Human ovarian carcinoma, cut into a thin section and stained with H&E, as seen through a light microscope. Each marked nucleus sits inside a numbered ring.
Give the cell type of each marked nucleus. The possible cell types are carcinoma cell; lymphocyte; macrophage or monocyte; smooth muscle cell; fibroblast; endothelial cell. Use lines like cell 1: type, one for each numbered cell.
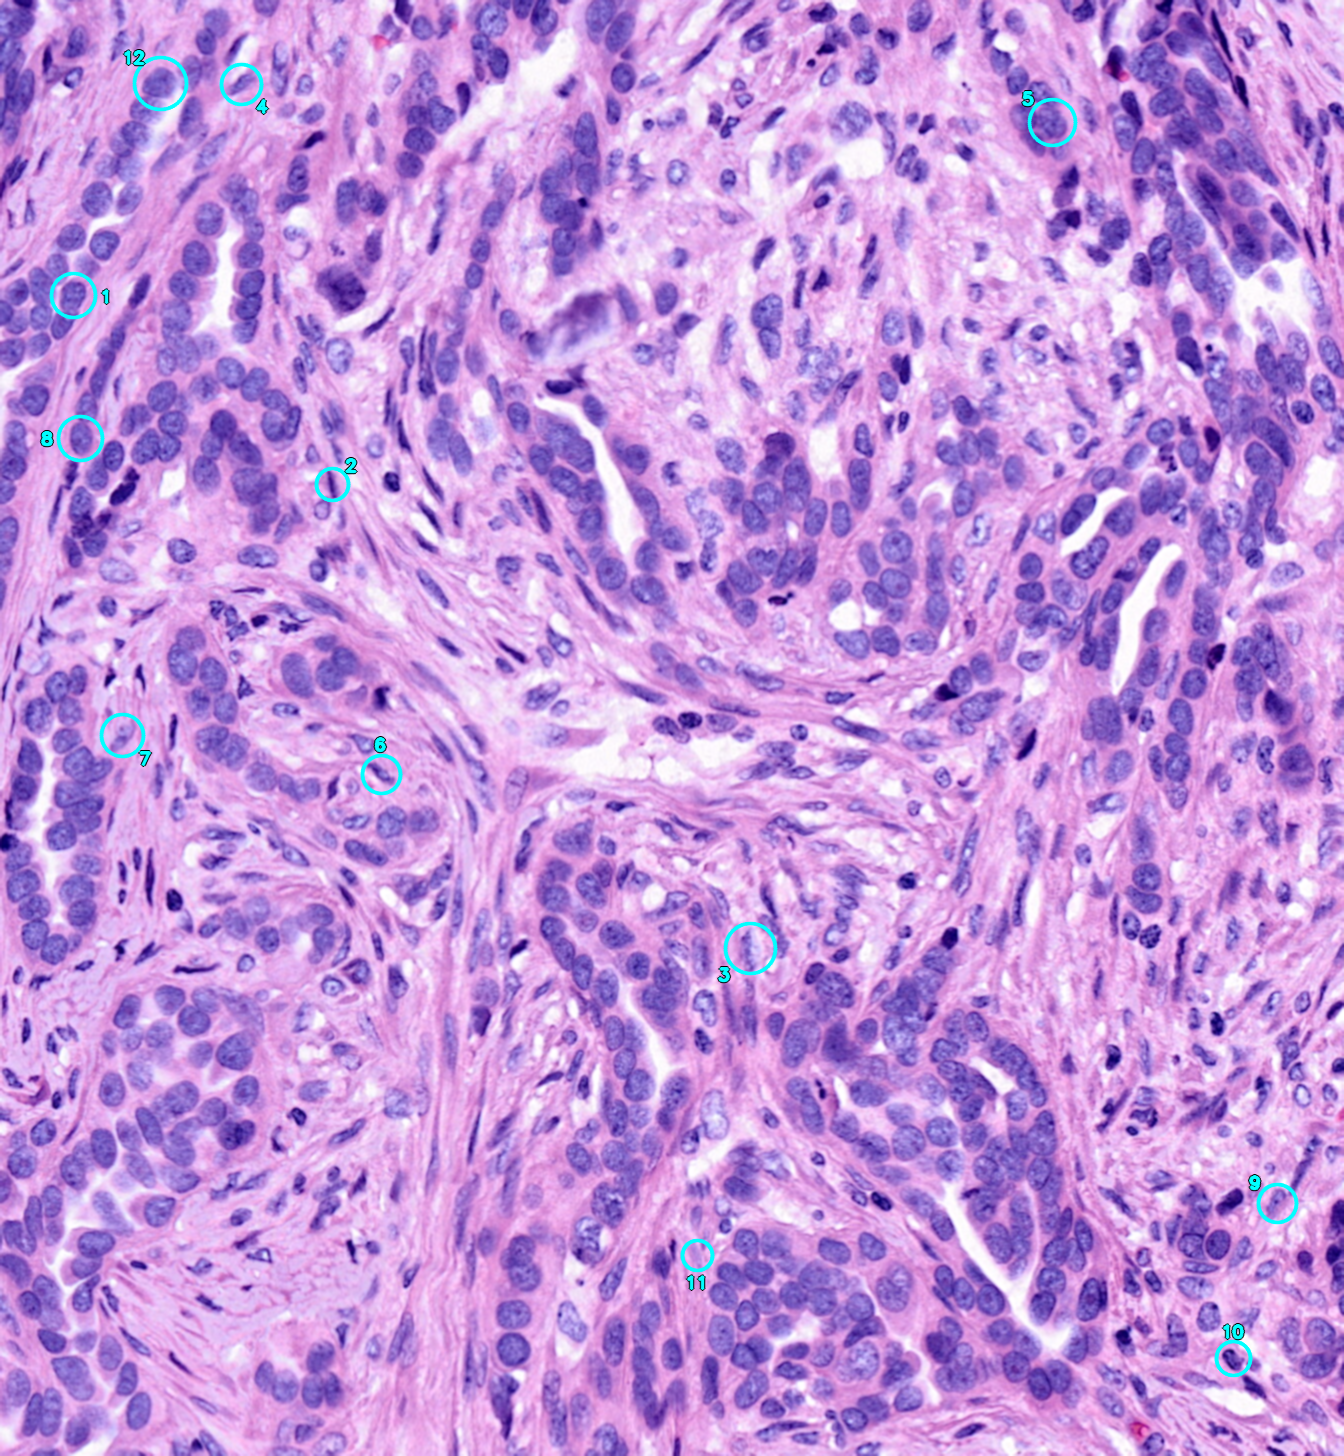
cell 1: carcinoma cell
cell 2: fibroblast
cell 3: fibroblast
cell 4: fibroblast
cell 5: carcinoma cell
cell 6: fibroblast
cell 7: fibroblast
cell 8: carcinoma cell
cell 9: fibroblast
cell 10: lymphocyte
cell 11: fibroblast
cell 12: carcinoma cell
